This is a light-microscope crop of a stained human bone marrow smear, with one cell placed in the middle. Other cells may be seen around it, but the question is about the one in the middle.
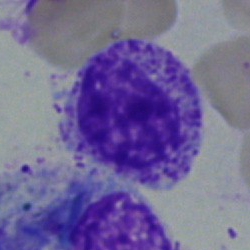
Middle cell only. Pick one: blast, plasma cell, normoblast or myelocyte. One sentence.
What sits at the centre of this crop is a myelocyte.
